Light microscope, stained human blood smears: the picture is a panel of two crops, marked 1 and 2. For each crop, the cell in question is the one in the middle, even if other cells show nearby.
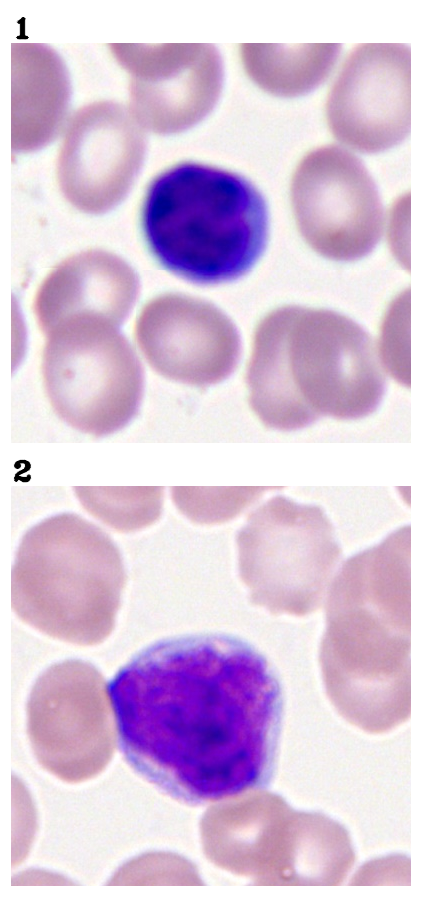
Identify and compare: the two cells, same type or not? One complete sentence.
No, crop 1 contains a lymphocyte, whereas crop 2 contains a blast.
